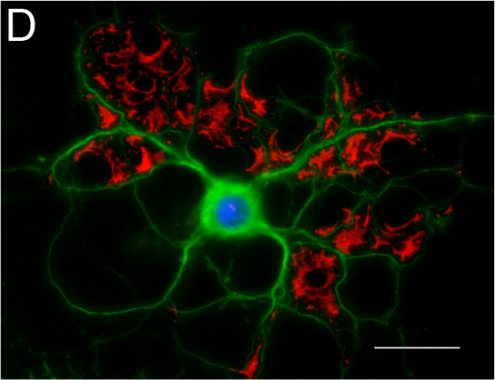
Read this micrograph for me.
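This is a single differentiated oligodendrocyte in culture, with a compact round cell body and a blue nucleus at its centre. From the green cell body many thin processes radiate and branch widely, and between them lie broad, lacy red membrane expansions that spread out around the cell like flattened sheets.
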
